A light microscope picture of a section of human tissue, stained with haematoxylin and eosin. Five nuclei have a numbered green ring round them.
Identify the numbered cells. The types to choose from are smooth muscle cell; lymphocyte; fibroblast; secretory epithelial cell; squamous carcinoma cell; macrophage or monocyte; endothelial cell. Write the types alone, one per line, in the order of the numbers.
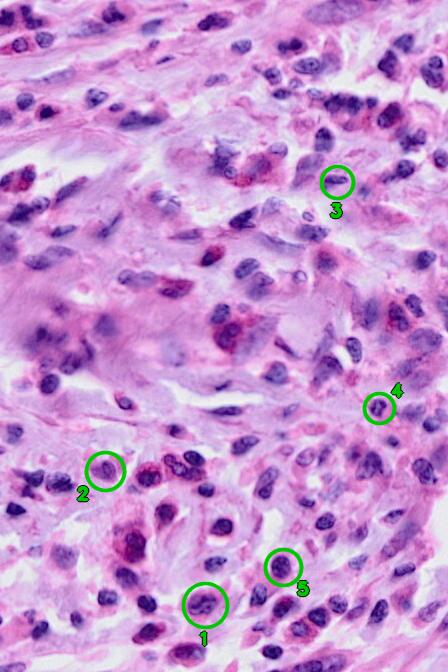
macrophage or monocyte
macrophage or monocyte
lymphocyte
lymphocyte
lymphocyte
